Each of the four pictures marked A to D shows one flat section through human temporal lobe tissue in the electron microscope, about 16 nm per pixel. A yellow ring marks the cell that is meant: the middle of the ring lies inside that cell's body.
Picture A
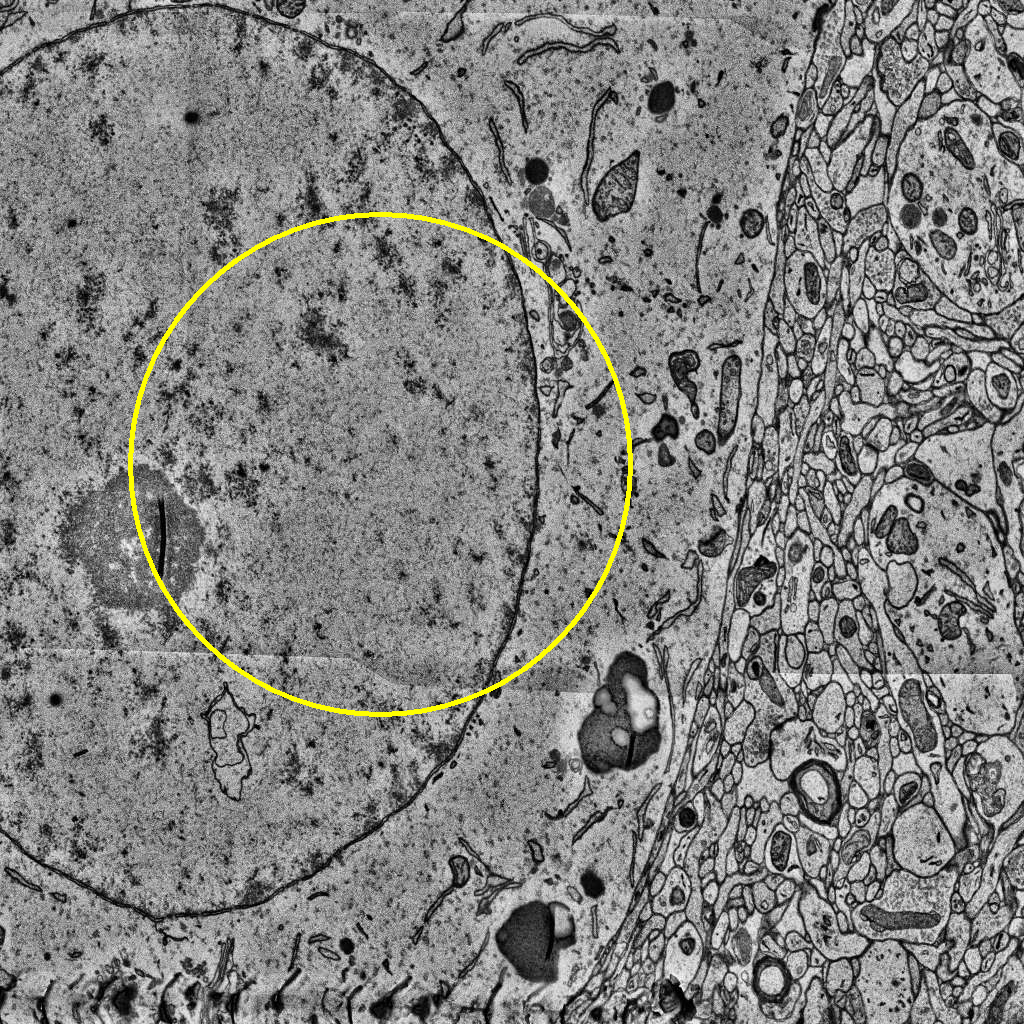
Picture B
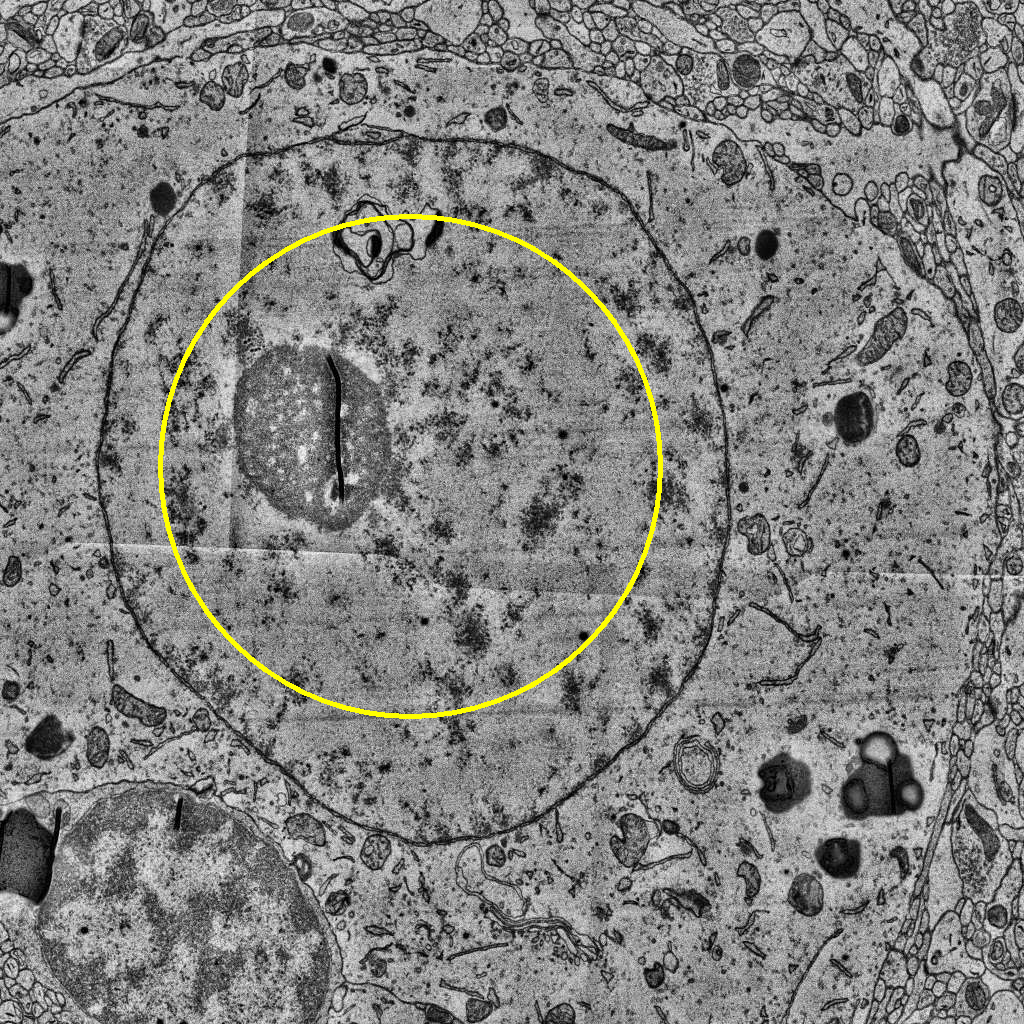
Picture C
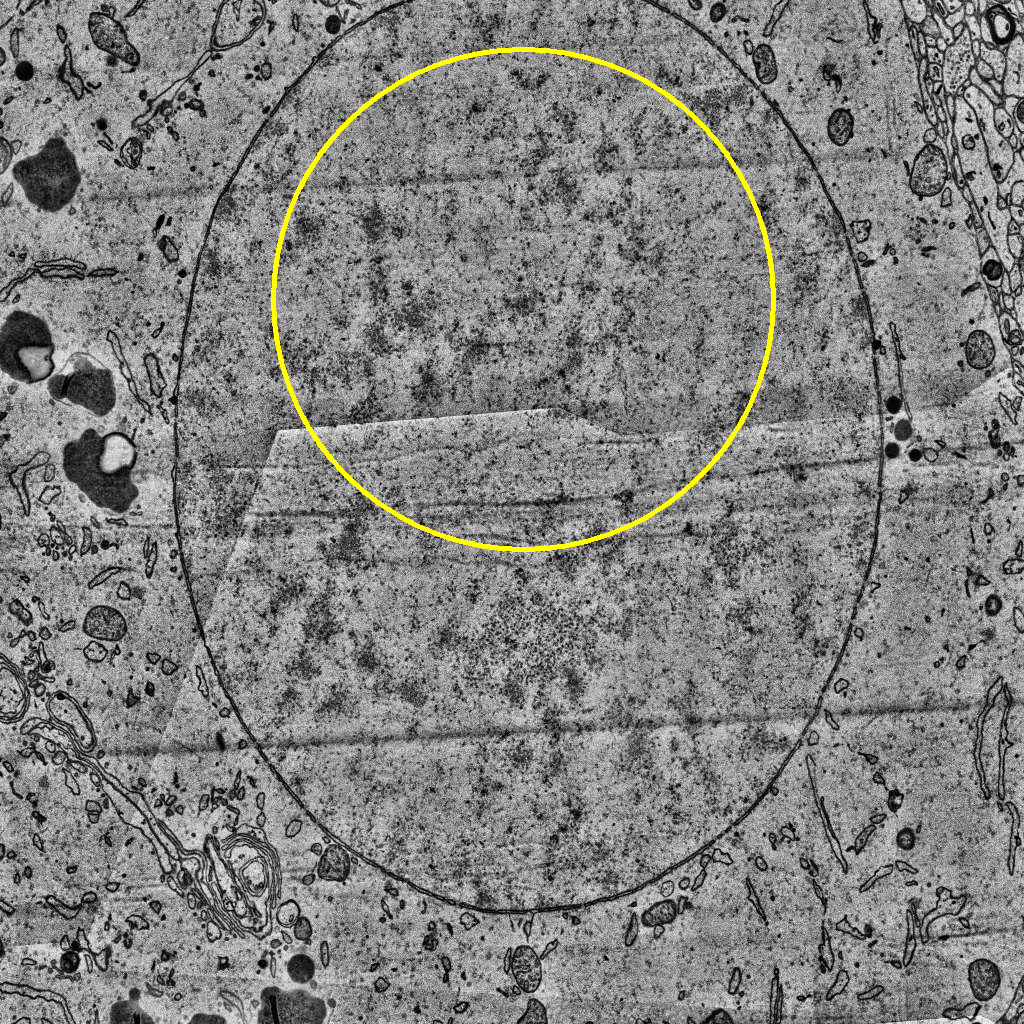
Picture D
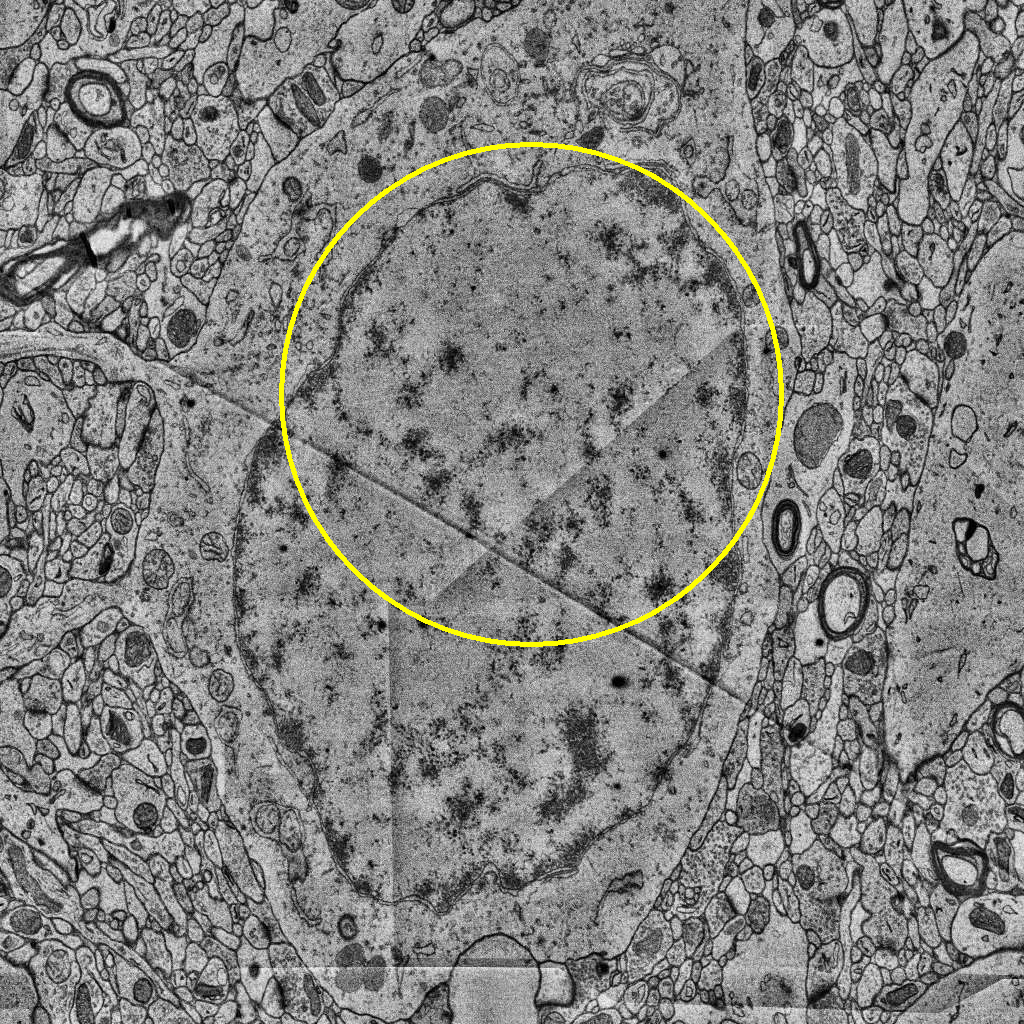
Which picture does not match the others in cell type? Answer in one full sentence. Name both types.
Unlike the rest, which show pyramidal neurons, picture D shows an interneuron.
